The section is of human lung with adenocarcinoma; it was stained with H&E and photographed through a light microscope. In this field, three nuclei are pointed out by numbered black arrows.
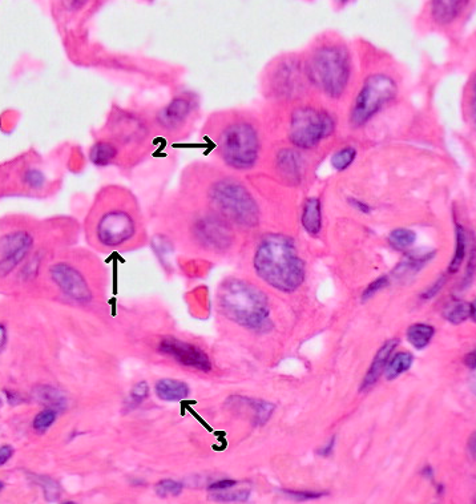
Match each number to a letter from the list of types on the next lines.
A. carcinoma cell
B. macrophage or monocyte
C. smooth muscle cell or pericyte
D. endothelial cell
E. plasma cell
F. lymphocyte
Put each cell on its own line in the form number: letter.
1: B
2: A
3: F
